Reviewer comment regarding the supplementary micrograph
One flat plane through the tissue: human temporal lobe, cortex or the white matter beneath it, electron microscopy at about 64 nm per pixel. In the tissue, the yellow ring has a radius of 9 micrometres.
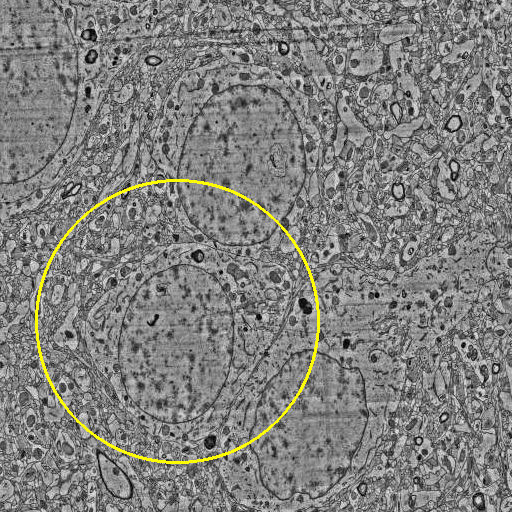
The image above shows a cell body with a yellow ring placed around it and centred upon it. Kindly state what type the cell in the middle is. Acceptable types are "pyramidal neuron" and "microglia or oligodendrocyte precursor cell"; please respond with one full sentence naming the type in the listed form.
In the image above, the cell on which the yellow ring is centred is a pyramidal neuron.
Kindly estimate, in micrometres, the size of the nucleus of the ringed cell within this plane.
In this plane, the nucleus is roughly 10 by 7 micrometres.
